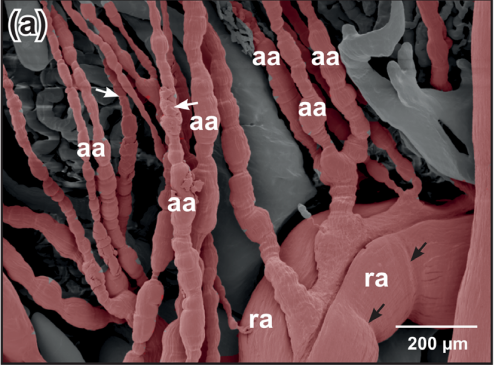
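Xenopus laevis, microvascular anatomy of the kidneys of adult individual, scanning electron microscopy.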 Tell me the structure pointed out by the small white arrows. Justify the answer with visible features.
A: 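The thin vessel casts are beaded, with regular bulges and constrictions along their length. The white arrows point to such beaded segments.
Conclusion: pearl‐string‐like appearance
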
